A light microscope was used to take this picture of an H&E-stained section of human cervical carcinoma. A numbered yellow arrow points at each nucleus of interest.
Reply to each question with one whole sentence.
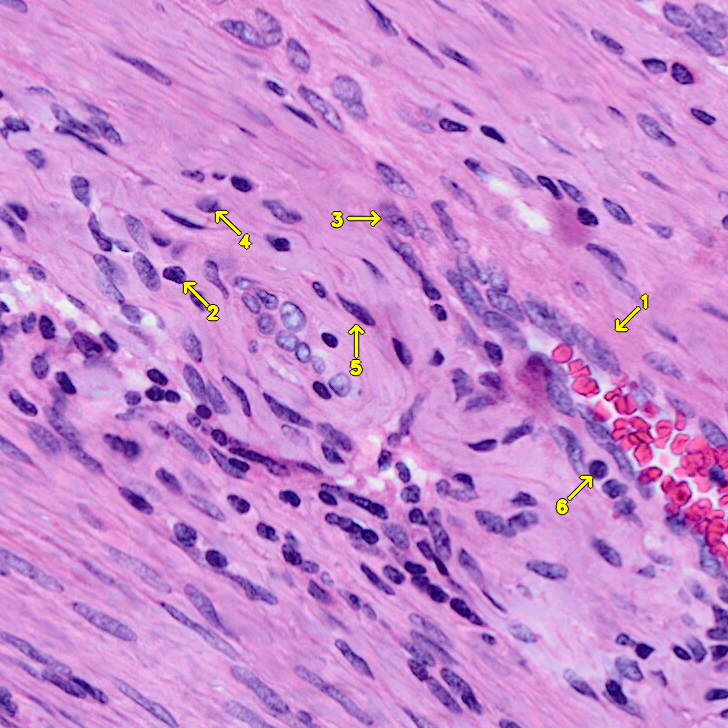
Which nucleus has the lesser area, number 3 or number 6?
With nucleus 3 about 2 times its size, nucleus 6 is the smaller of the two.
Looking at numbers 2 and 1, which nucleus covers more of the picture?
It is nucleus 1, which covers about 3 times the area of nucleus 2.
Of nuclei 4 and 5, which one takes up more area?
Number 5 is larger; its area is about 1.5 times that of number 4.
